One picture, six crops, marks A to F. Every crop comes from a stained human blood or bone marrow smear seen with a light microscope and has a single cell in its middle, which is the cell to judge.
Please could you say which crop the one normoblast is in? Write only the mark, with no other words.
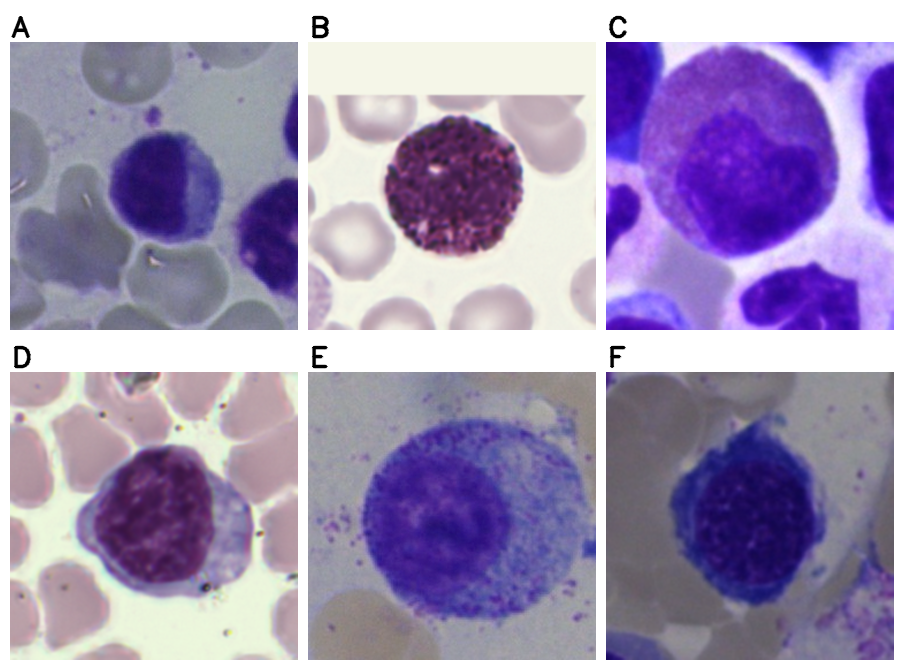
F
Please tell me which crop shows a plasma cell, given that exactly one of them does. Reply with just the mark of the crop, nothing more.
D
